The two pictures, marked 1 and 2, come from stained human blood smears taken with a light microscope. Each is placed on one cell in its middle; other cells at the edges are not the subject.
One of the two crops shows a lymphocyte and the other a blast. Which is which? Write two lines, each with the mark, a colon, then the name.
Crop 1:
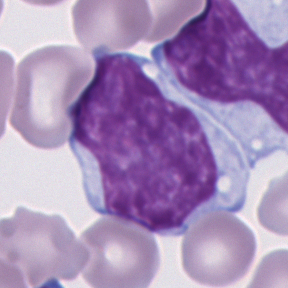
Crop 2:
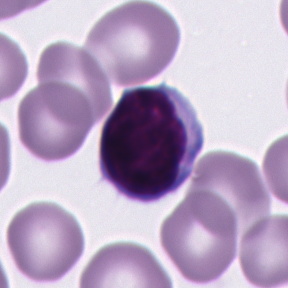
1: blast
2: lymphocyte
